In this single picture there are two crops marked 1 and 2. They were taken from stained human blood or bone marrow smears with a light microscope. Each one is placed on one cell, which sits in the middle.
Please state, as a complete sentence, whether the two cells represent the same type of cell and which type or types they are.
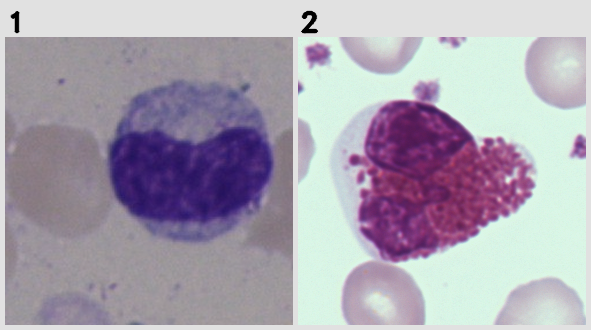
No, in crop 1 the cell is a metamyelocyte, and in crop 2 it is an eosinophil.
